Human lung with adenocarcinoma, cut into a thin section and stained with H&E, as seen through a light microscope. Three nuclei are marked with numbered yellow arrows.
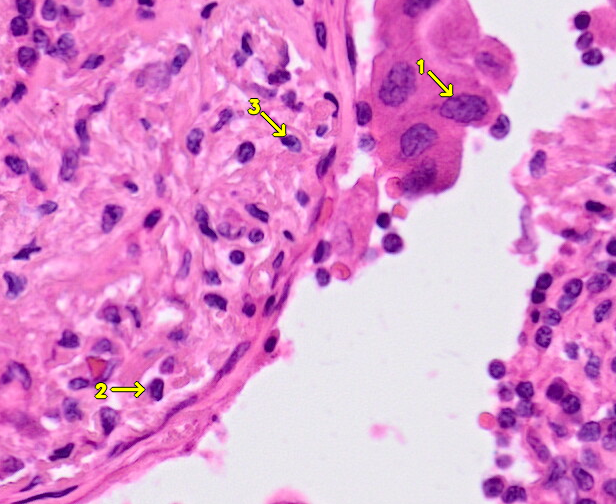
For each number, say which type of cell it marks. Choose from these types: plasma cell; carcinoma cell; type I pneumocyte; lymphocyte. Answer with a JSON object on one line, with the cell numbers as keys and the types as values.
{"1": "carcinoma cell", "2": "lymphocyte", "3": "lymphocyte"}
